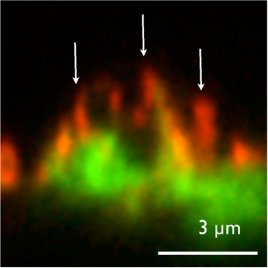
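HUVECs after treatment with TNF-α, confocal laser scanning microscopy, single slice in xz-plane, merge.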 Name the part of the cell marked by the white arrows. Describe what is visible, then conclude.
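Thin finger-like projections rise upward from the cell surface. The arrows point at the tips of these projections. The projections are tipped with red over a green base.
Microvilli.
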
